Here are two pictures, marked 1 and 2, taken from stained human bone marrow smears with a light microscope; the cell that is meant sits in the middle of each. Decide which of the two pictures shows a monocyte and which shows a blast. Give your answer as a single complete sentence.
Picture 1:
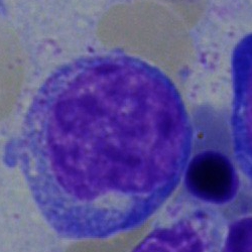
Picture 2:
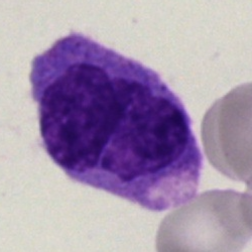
The cell in picture 1 is a blast, and the one in picture 2 is a monocyte.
